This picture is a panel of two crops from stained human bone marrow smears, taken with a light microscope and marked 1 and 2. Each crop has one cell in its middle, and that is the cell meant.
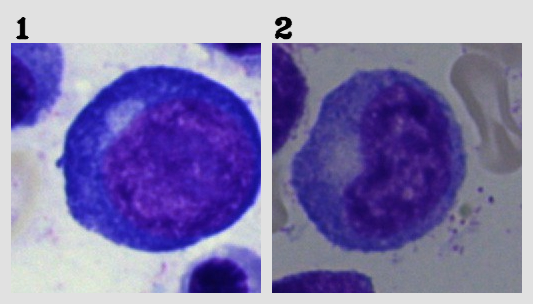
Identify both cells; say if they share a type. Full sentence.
No, crop 1 contains a proerythroblast, and crop 2 contains a promyelocyte.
